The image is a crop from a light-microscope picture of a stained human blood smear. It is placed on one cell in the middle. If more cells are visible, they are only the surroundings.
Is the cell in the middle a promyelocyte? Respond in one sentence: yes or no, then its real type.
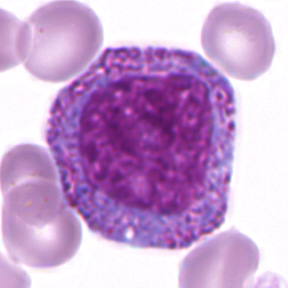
Yes, the cell shown at the crop's centre is a promyelocyte.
